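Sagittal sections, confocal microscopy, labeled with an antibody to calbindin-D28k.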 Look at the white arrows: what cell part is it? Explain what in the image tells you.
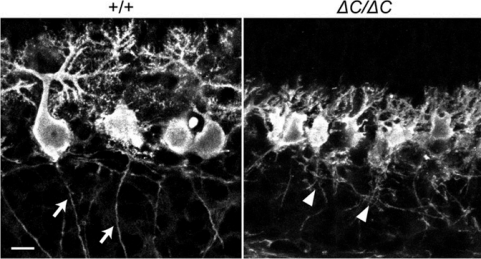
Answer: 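The arrows mark thin, smooth processes running downward from beneath the cell bodies. On this evidence: axons.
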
